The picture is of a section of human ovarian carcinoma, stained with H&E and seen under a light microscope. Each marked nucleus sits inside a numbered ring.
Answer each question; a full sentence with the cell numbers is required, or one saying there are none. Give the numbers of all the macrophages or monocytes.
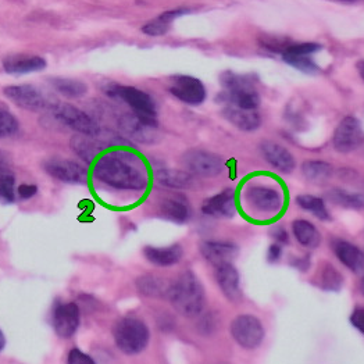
A single numbered cell, cell 1, is a macrophage or monocyte.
